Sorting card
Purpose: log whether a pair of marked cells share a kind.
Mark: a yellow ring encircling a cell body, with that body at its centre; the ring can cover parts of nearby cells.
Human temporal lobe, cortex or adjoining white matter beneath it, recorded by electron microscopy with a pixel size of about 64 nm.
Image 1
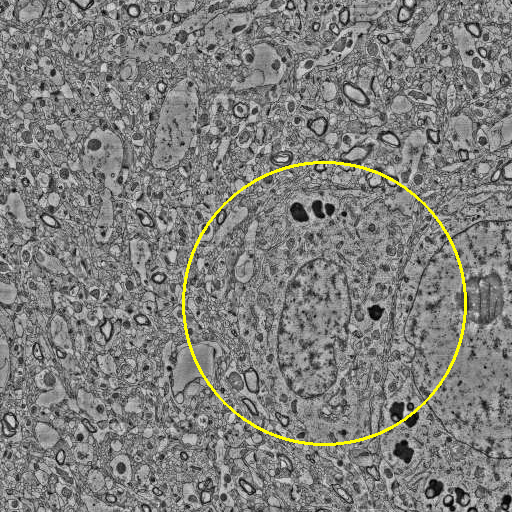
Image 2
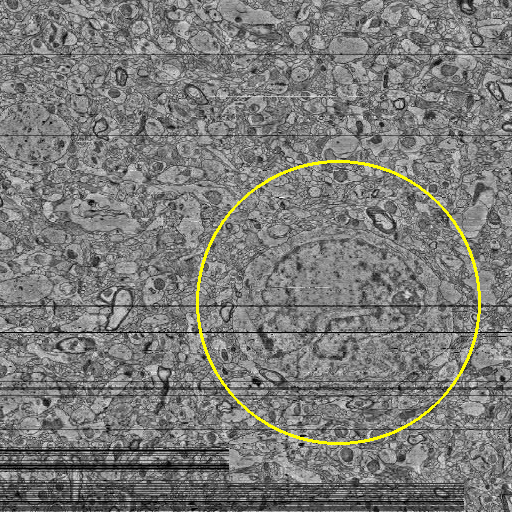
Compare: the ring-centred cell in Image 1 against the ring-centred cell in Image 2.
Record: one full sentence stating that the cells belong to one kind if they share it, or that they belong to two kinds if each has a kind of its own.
Across Images 1 and 2, the two ring-centred cells belong to one kind.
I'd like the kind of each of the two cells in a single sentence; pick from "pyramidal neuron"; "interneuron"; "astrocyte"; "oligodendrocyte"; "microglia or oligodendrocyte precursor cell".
Each cell, in the first picture and the second, is an interneuron.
